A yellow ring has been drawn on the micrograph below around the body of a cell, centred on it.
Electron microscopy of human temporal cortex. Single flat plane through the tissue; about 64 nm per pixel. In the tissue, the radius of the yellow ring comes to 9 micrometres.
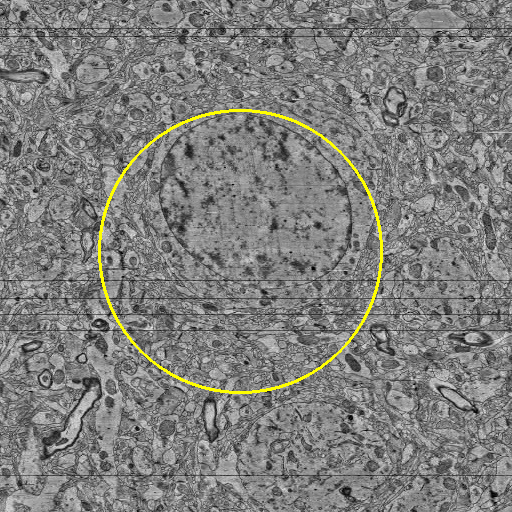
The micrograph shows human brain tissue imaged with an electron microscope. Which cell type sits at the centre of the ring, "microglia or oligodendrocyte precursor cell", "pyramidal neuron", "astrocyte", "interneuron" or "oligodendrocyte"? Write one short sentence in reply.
The cell sitting at the centre of the ring is a pyramidal neuron.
